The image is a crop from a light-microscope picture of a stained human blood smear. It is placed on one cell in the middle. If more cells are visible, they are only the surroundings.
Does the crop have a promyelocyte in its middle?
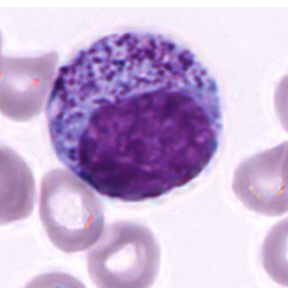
yes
